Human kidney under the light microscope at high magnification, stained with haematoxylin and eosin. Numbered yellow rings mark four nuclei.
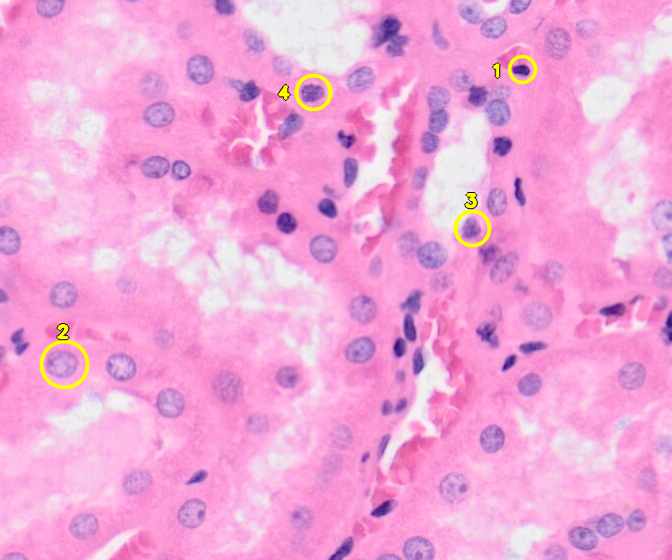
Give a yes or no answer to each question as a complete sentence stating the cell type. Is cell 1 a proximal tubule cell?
No, that is wrong: cell 1 is an endothelial cell, and not a proximal tubule cell.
